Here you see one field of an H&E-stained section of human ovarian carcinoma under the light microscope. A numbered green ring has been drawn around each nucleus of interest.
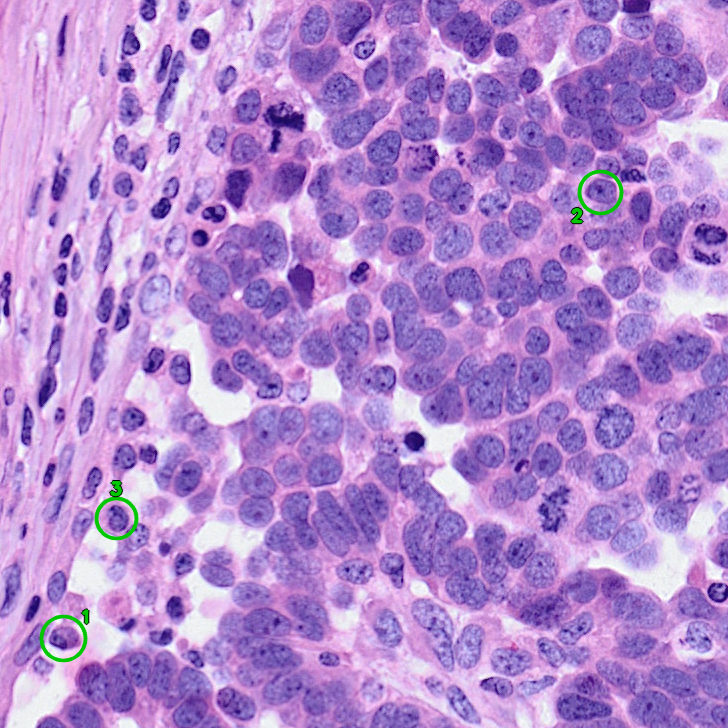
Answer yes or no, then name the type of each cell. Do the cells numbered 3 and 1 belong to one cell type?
Yes, cells 3 and 1 are both classed as macrophages or monocytes.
